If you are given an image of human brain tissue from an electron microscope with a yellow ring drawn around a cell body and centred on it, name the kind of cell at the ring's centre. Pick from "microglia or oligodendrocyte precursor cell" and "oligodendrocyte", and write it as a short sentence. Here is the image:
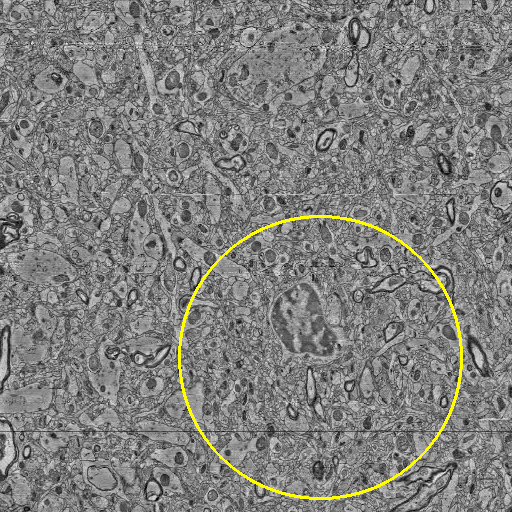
The cell at the ring's centre is a microglial cell or oligodendrocyte precursor cell.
